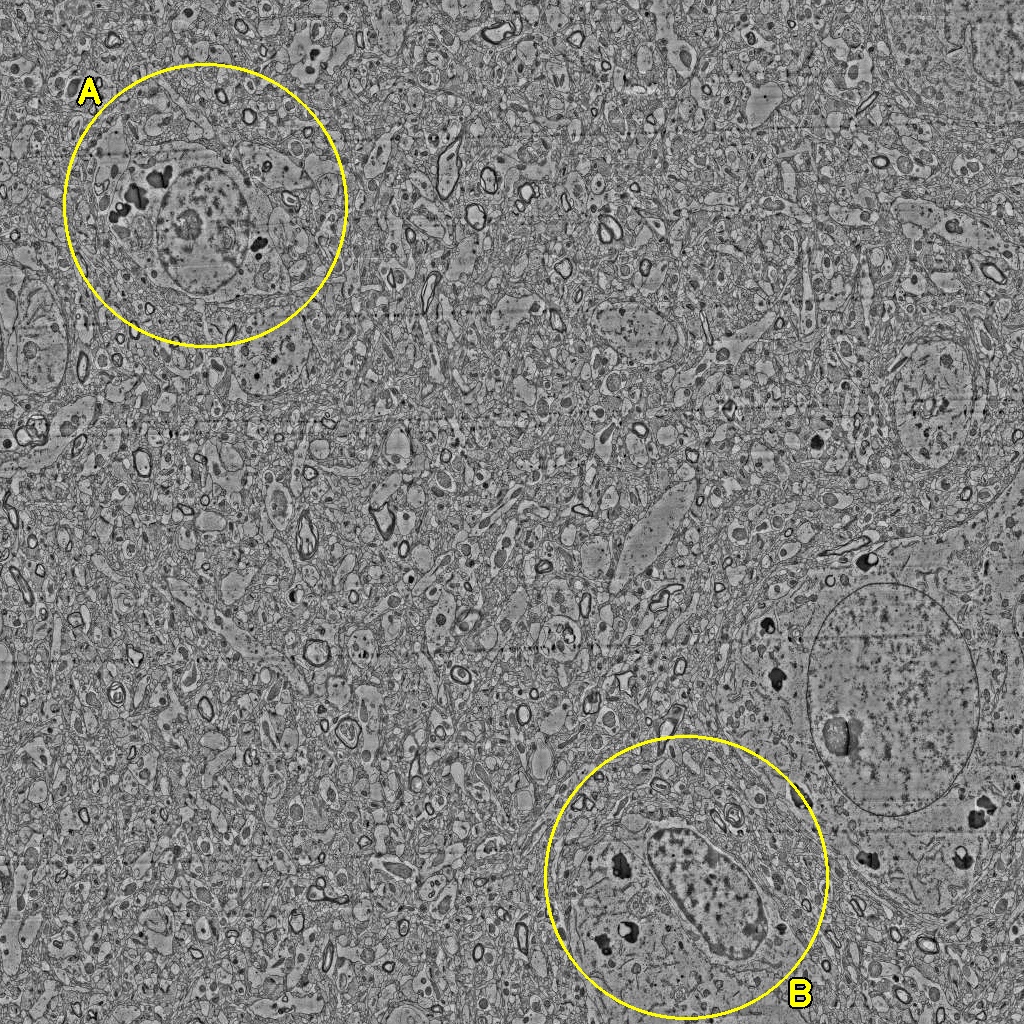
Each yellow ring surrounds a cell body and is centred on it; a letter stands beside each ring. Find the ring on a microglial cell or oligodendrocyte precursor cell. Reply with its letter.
B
